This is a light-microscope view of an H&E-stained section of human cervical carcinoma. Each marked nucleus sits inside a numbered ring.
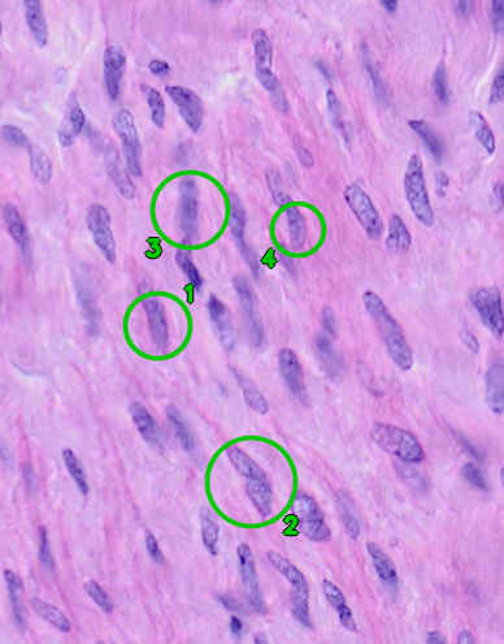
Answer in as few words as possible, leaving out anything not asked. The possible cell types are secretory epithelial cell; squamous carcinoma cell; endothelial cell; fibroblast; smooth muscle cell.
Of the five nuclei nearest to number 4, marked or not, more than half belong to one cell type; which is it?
smooth muscle cell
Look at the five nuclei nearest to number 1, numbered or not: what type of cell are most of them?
fibroblast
